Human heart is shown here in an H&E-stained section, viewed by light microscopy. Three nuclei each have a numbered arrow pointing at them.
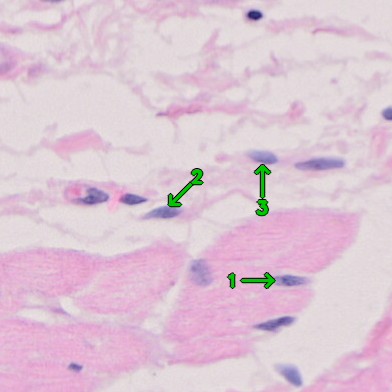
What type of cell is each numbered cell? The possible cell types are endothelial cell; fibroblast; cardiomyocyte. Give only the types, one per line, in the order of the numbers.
endothelial cell
fibroblast
fibroblast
